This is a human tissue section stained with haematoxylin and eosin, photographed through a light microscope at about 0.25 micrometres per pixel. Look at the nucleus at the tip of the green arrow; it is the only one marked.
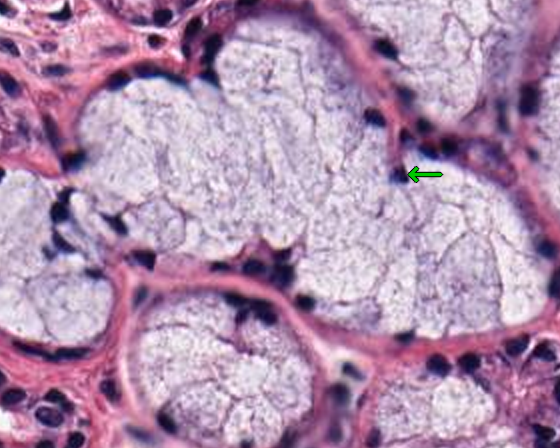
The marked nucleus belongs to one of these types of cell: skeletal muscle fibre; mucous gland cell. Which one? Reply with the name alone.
mucous gland cell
